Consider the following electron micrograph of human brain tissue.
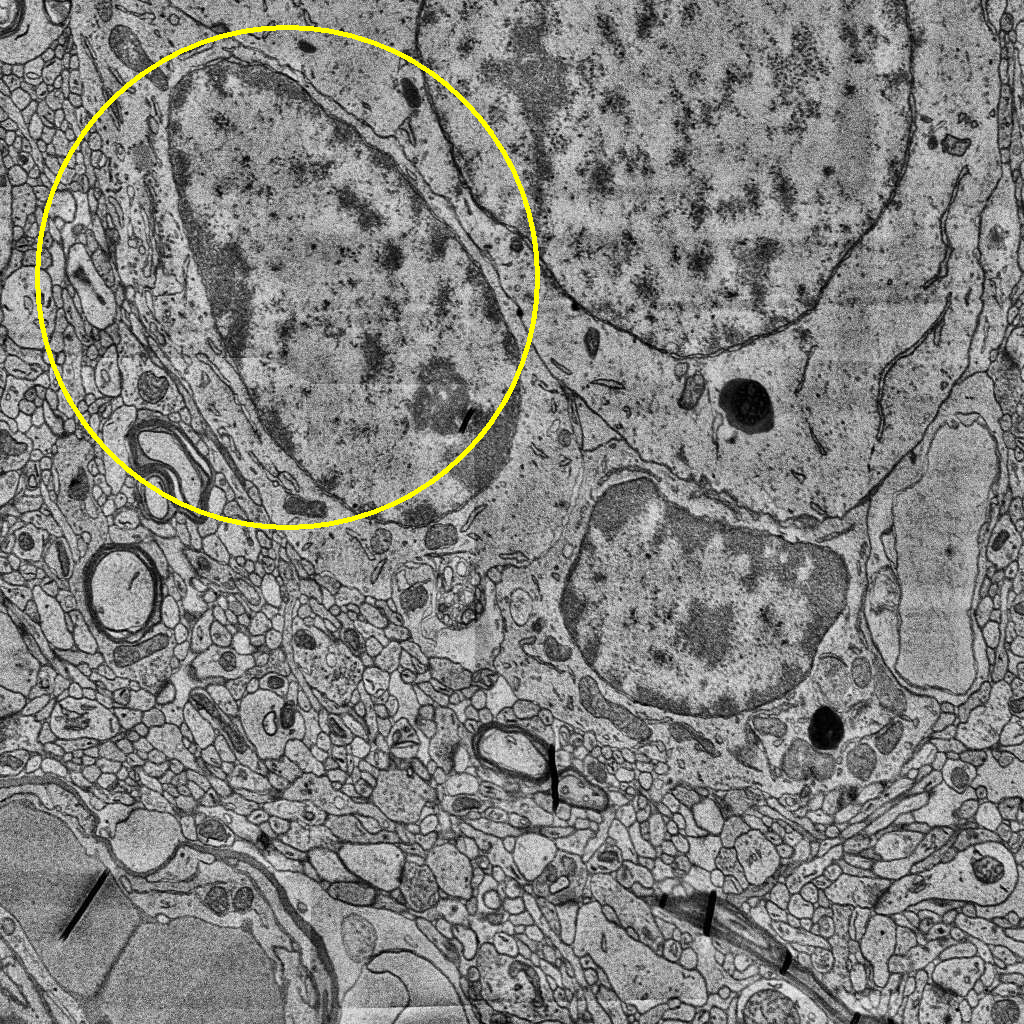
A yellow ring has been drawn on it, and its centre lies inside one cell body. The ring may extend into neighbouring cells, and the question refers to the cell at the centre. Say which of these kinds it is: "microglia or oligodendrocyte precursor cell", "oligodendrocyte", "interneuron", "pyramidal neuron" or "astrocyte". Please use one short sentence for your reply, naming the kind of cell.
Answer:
The centre of the ring falls on a microglial cell or oligodendrocyte precursor cell.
